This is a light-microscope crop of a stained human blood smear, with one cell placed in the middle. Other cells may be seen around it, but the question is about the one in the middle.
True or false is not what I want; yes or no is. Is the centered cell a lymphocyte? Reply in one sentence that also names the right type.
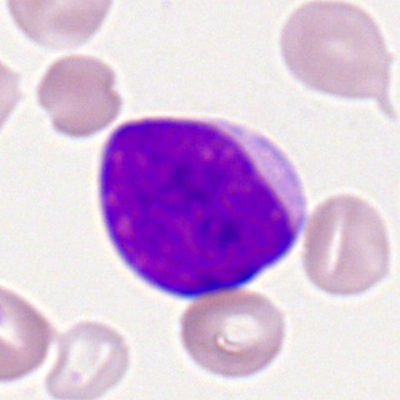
No, the central cell is classed as a myeloblast, not a lymphocyte.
